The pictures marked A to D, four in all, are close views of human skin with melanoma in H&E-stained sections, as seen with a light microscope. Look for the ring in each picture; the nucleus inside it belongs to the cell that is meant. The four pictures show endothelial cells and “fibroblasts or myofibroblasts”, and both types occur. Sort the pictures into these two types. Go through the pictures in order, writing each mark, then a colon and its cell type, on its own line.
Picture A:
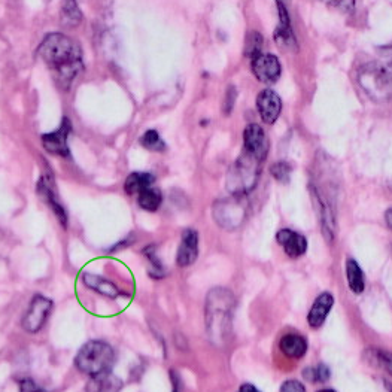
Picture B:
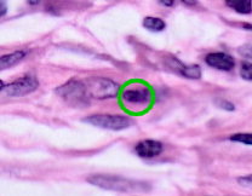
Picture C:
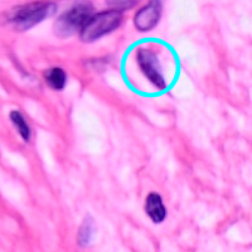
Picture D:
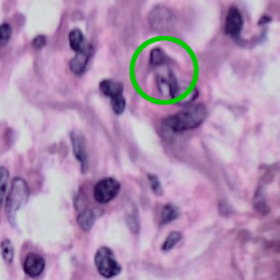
A: endothelial cell
B: endothelial cell
C: fibroblast or myofibroblast
D: endothelial cell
